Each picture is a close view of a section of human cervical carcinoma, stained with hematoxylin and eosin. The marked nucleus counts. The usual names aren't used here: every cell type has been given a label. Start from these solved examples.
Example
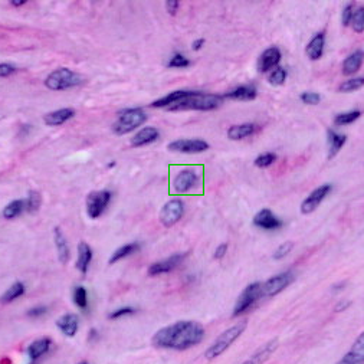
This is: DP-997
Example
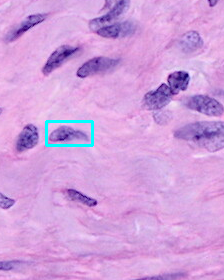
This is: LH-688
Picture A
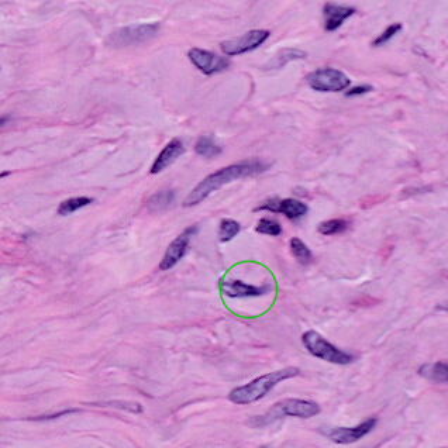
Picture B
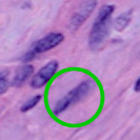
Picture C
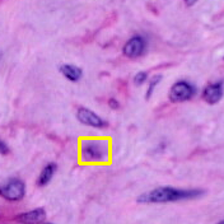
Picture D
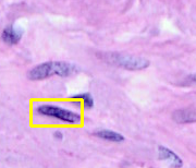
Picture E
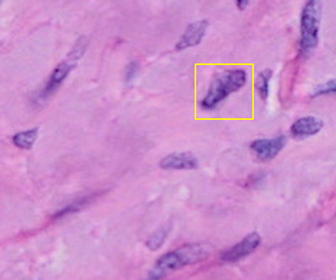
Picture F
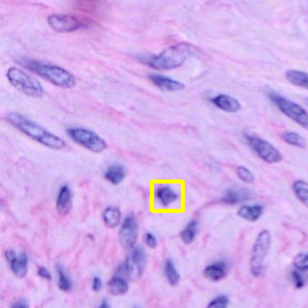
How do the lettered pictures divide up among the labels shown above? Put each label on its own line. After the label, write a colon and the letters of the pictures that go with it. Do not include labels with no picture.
DP-997: C, F
LH-688: A, B, D, E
